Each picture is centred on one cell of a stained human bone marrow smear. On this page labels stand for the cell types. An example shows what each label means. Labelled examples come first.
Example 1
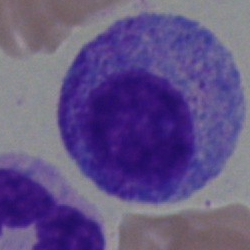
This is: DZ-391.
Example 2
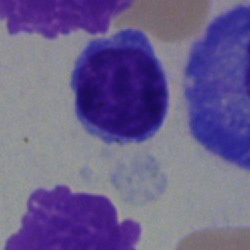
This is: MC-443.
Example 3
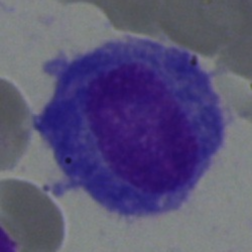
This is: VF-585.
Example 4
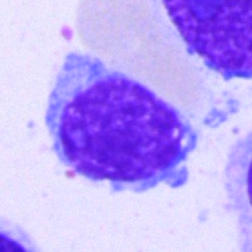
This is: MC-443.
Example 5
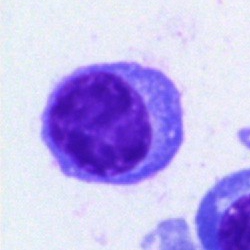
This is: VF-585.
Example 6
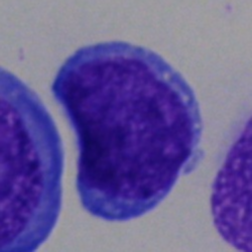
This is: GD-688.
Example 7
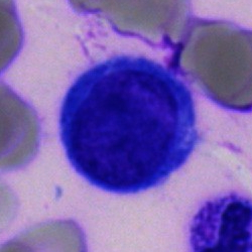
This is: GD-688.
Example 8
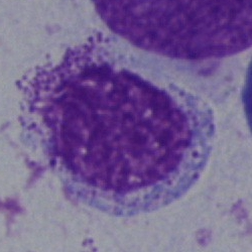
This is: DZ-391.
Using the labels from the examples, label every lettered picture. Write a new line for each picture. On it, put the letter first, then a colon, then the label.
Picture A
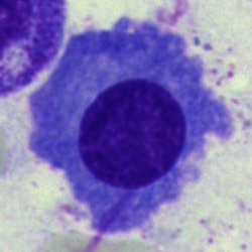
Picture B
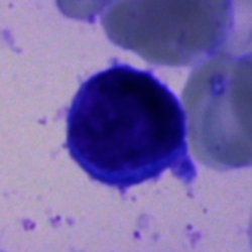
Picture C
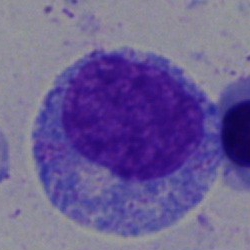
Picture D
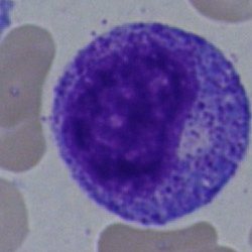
A: VF-585.
B: MC-443.
C: DZ-391.
D: DZ-391.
